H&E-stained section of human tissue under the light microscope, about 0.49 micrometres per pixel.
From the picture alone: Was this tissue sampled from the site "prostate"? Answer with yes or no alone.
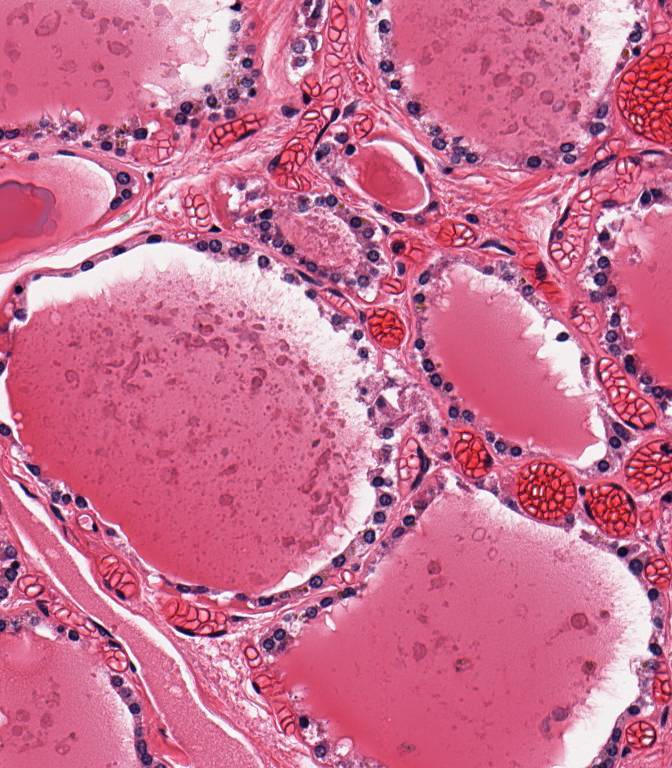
no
